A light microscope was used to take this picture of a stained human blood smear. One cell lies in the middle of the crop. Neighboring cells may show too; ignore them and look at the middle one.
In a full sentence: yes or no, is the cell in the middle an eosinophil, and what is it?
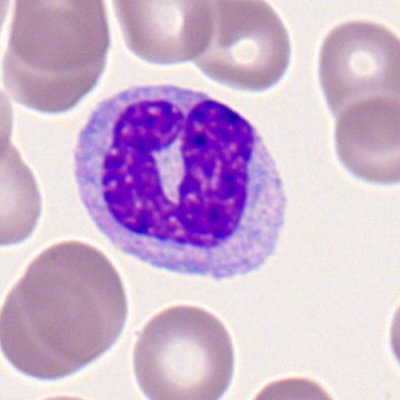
No, it isn't an eosinophil; what sits in the middle is a monocyte.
